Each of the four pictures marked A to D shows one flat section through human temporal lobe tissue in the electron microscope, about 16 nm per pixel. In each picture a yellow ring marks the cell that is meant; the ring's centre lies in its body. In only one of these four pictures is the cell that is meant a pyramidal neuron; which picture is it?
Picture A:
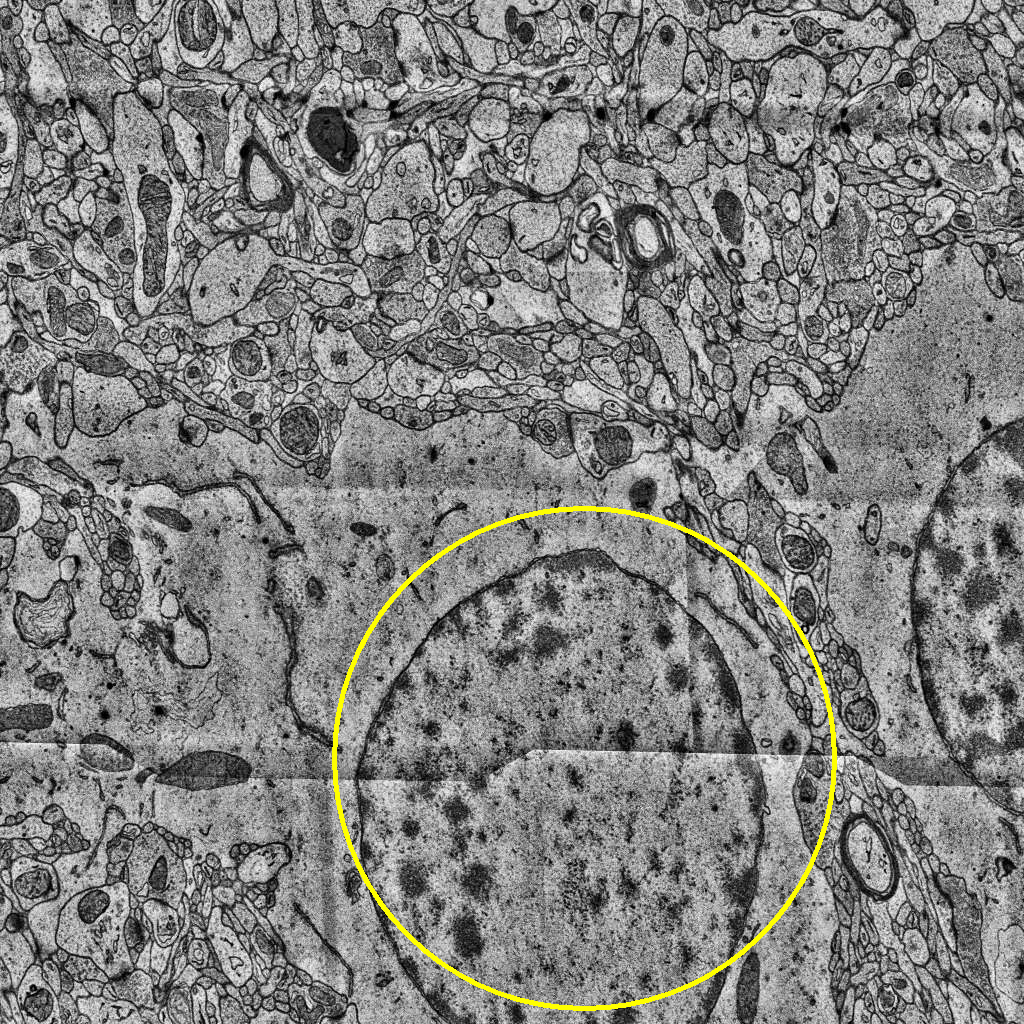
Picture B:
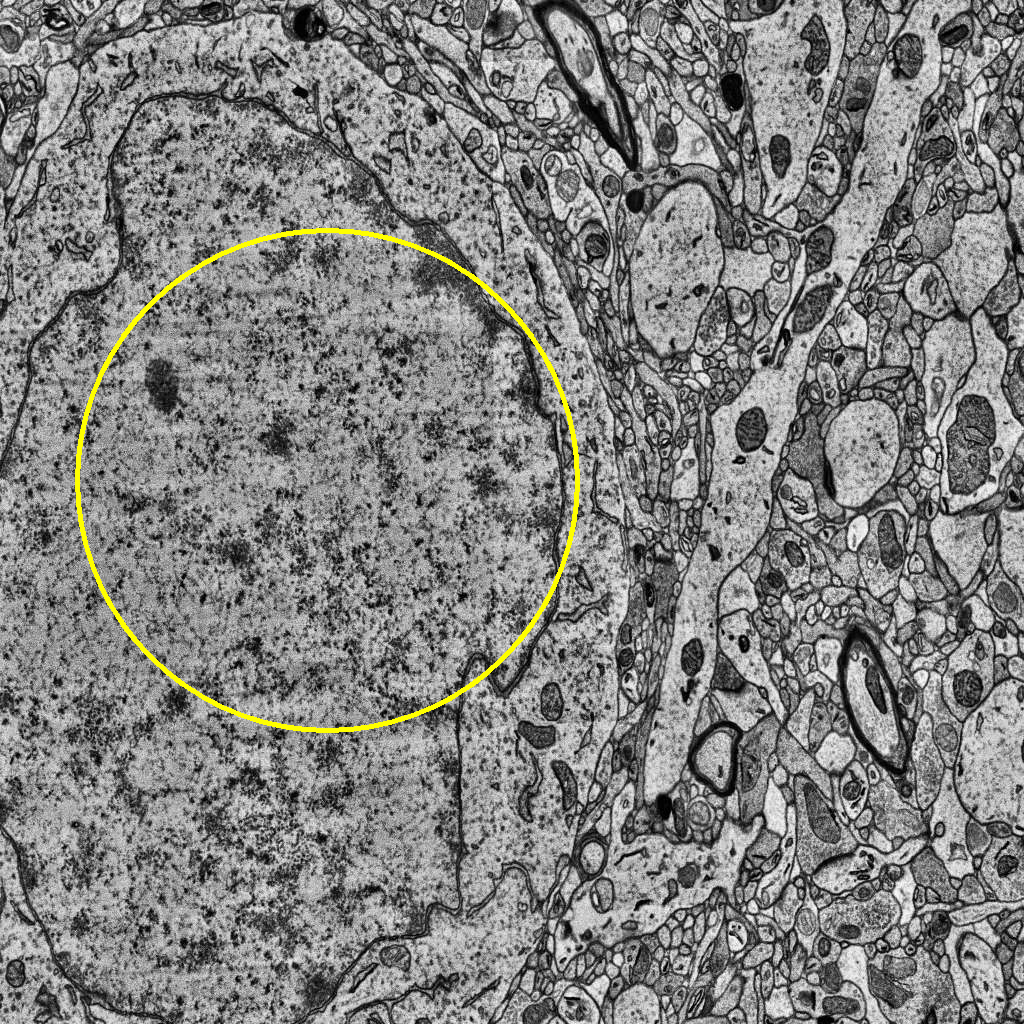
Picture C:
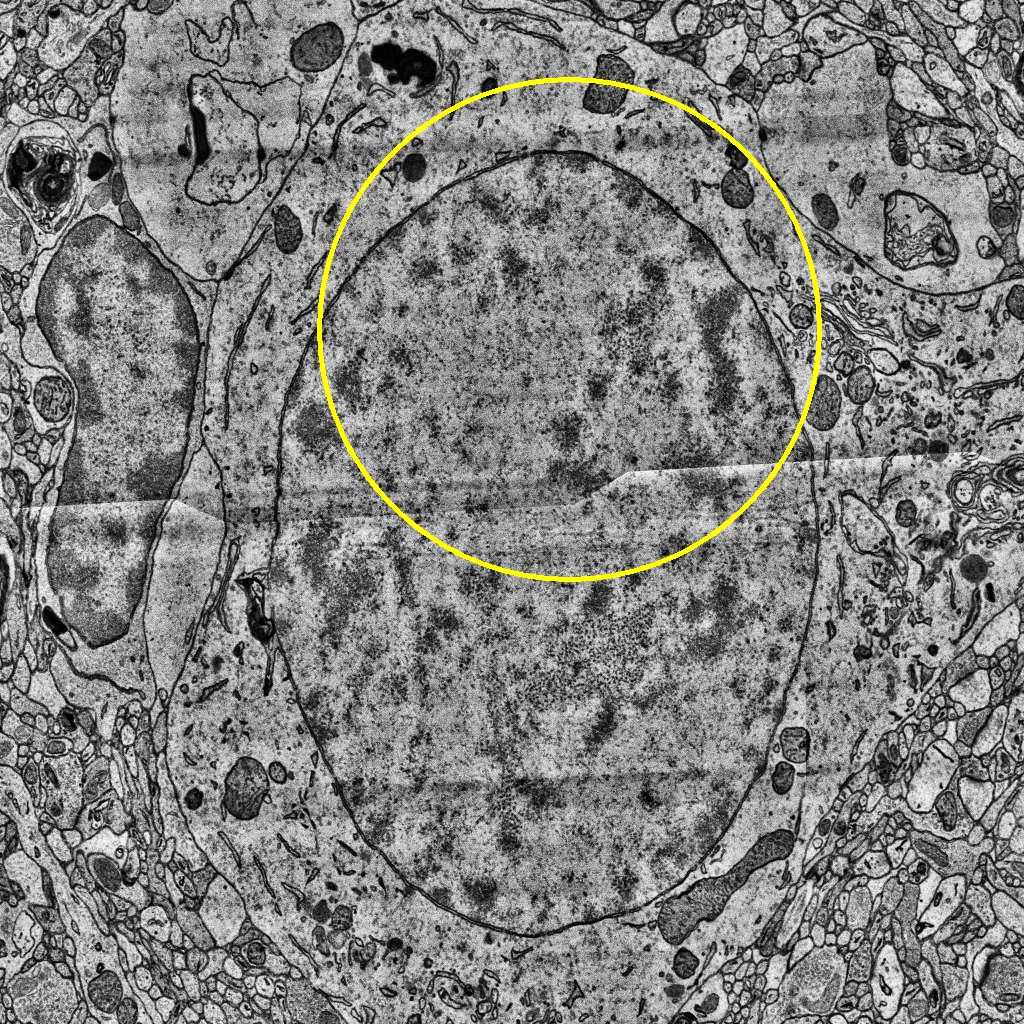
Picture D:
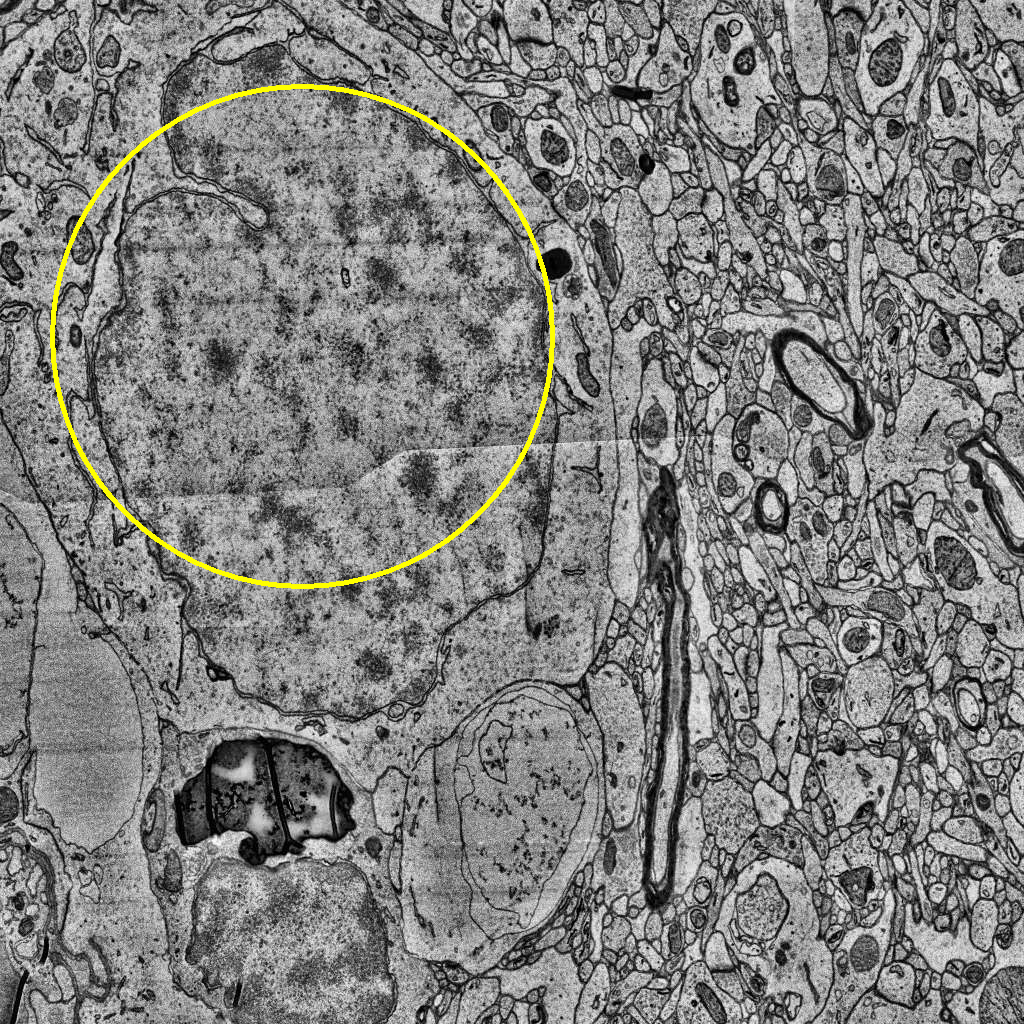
Picture C is the one that shows the pyramidal neuron.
